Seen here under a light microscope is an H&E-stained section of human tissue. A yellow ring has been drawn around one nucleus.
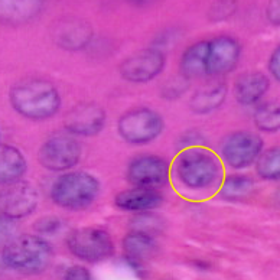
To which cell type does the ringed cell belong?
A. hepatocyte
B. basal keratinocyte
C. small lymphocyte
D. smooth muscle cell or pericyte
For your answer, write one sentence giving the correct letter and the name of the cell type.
Option B, which has the ringed cell as a basal keratinocyte, is the correct choice.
